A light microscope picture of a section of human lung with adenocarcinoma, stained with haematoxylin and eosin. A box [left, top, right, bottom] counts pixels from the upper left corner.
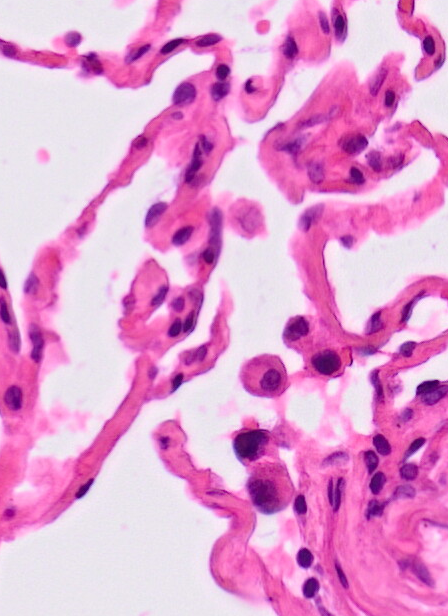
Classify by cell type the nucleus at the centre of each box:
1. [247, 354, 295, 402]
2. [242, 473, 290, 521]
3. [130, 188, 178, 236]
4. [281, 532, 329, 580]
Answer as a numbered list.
1. macrophage or monocyte
2. carcinoma cell
3. type I pneumocyte
4. lymphocyte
